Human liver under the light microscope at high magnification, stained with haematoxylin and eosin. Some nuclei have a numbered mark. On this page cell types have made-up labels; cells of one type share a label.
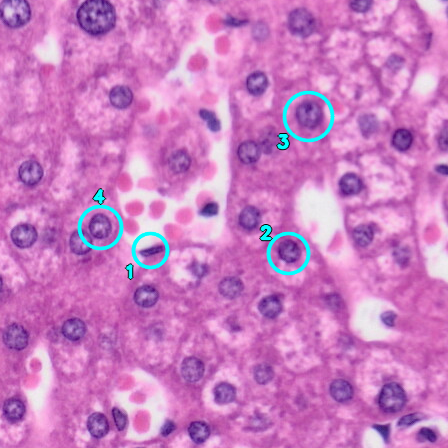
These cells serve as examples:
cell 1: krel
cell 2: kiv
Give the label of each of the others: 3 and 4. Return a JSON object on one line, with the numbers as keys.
{"3": "kiv", "4": "kiv"}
